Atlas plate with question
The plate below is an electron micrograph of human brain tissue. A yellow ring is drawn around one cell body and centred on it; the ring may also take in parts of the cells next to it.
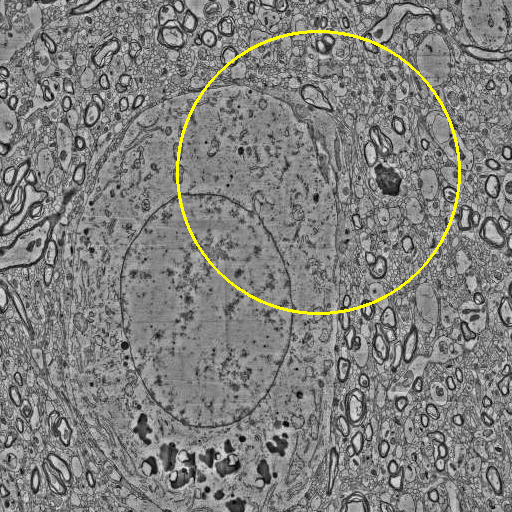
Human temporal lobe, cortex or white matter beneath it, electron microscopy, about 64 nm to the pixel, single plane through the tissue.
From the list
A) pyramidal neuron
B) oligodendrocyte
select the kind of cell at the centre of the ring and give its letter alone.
B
